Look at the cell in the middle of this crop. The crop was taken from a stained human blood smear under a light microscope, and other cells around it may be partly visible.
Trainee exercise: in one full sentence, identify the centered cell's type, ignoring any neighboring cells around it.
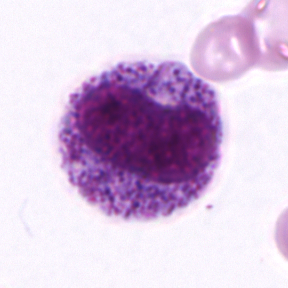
The cell sitting right in the middle is a metamyelocyte.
